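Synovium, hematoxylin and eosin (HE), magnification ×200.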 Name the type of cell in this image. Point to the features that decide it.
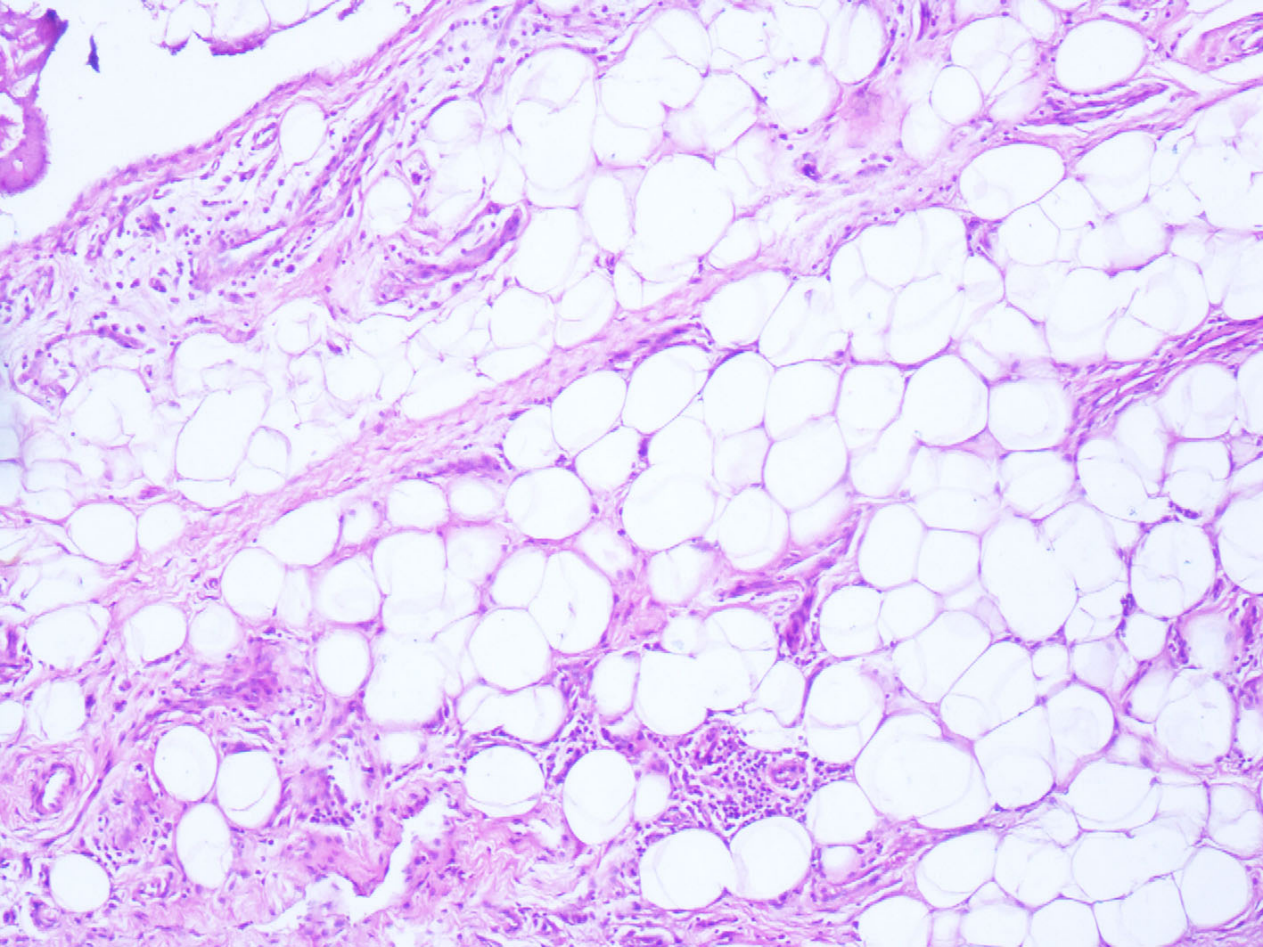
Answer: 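Most of the field is filled with large, empty-looking, rounded to polygonal cells with thin pink rims. Thin pink fibrous septa run between lobules of these cells. So: mature adipocytes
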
